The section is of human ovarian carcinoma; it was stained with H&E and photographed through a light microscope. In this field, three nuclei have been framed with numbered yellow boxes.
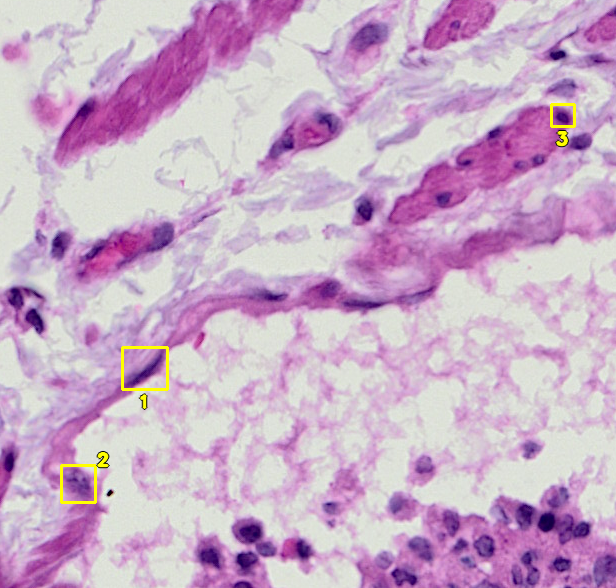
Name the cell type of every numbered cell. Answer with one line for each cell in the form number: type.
1: endothelial cell
2: endothelial cell
3: smooth muscle cell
